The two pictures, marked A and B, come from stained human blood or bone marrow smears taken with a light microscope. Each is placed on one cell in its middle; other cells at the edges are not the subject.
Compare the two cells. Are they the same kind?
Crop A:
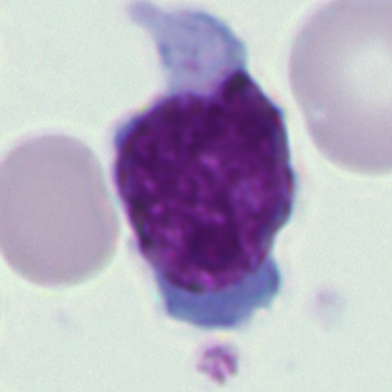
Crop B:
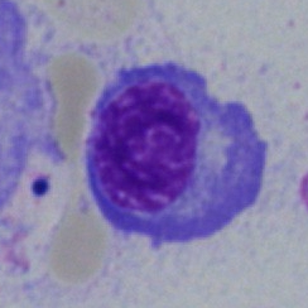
yes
